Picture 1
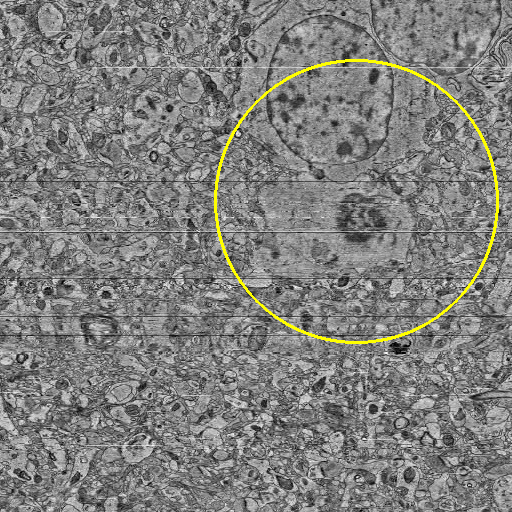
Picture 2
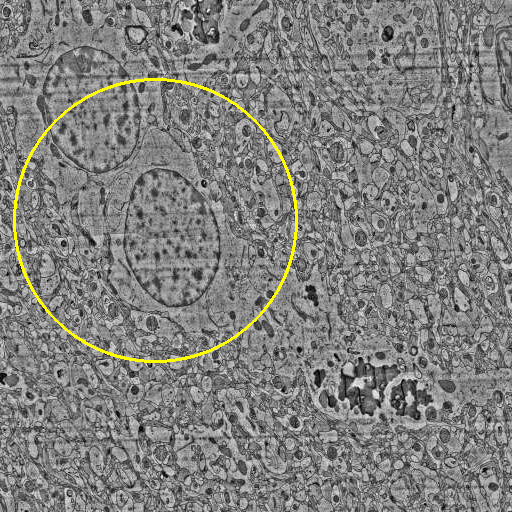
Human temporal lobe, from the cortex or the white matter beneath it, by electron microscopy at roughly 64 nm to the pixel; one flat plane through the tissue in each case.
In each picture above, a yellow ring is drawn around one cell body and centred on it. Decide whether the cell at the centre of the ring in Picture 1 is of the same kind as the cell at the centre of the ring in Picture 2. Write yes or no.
yes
